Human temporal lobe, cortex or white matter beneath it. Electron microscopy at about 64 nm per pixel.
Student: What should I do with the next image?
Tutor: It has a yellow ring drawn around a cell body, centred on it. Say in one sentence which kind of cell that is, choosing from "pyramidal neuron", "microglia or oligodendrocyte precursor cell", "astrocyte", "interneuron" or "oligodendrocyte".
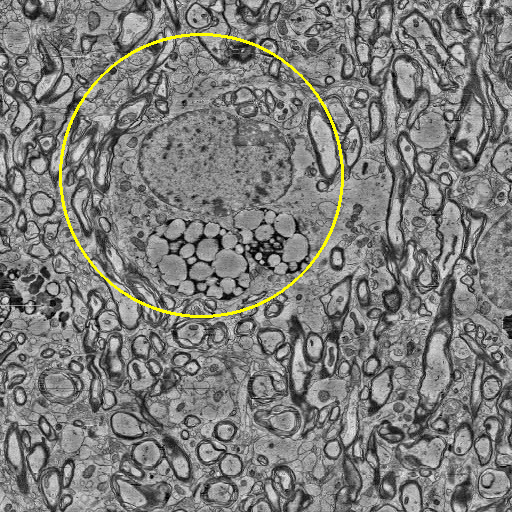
The ring's centre is occupied by an astrocyte.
